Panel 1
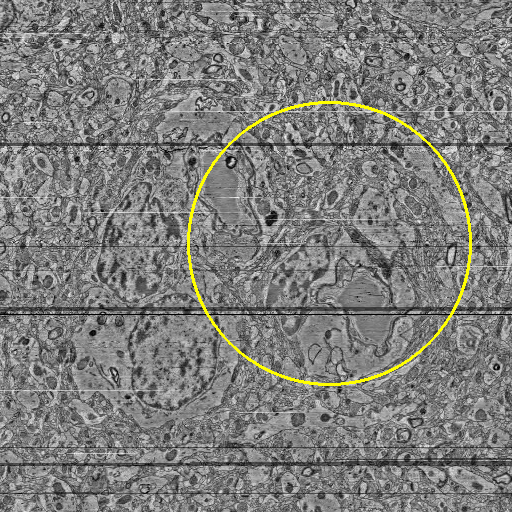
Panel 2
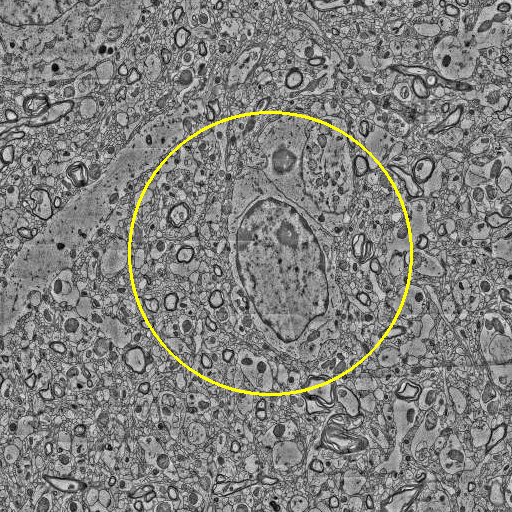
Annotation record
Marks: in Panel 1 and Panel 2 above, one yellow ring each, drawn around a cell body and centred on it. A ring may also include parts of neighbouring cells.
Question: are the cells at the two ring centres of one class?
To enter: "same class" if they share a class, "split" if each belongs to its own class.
same class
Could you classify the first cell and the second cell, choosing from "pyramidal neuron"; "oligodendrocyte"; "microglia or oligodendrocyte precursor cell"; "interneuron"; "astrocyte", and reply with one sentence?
The second cell is a microglial cell or oligodendrocyte precursor cell, just as the first is.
